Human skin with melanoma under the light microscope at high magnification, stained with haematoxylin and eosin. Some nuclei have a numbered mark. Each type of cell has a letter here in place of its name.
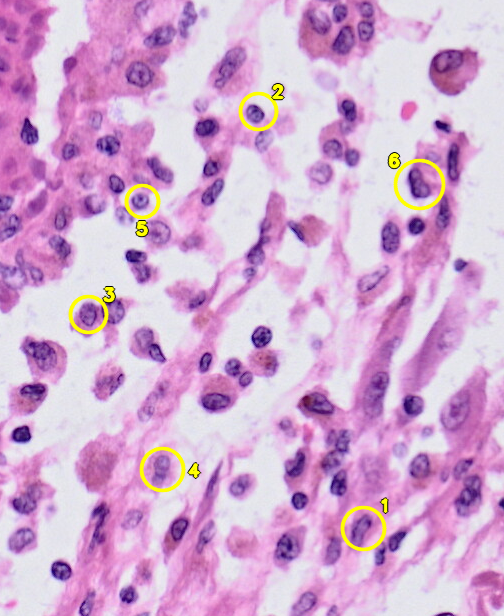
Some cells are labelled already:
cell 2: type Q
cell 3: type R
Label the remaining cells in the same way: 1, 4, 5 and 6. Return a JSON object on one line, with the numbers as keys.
{"1": "type R", "4": "type R", "5": "type Q", "6": "type R"}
